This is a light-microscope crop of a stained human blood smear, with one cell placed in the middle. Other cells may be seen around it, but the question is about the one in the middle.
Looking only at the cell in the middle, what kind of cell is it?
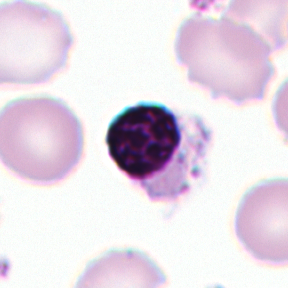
erythroblast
